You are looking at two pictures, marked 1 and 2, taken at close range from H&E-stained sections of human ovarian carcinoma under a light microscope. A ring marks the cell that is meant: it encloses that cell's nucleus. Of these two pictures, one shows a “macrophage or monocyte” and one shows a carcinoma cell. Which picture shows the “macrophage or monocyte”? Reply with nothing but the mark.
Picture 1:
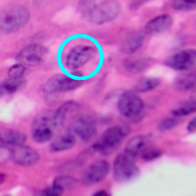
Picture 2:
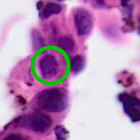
1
